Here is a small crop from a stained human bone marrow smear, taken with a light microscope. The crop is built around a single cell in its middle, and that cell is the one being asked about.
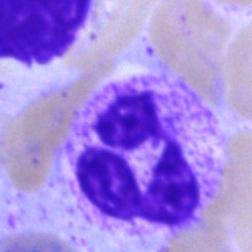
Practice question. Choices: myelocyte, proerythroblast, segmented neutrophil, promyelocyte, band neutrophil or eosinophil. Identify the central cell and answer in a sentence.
Positioned in the middle of the crop is a segmented neutrophil.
